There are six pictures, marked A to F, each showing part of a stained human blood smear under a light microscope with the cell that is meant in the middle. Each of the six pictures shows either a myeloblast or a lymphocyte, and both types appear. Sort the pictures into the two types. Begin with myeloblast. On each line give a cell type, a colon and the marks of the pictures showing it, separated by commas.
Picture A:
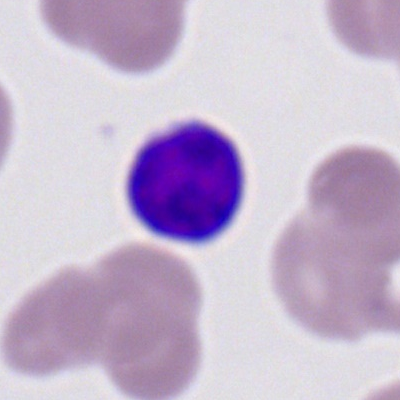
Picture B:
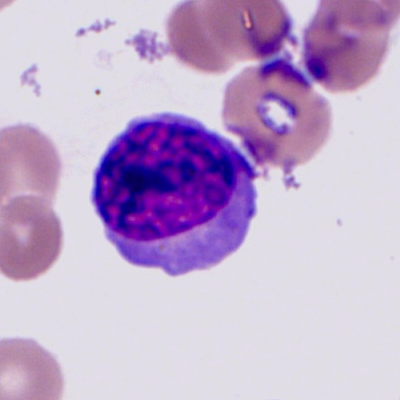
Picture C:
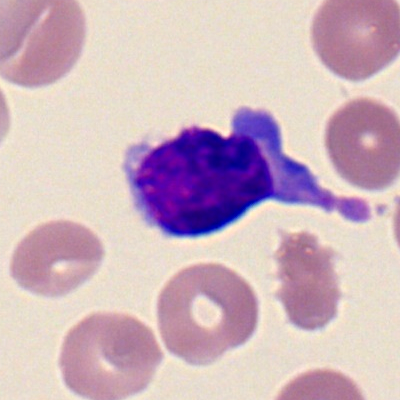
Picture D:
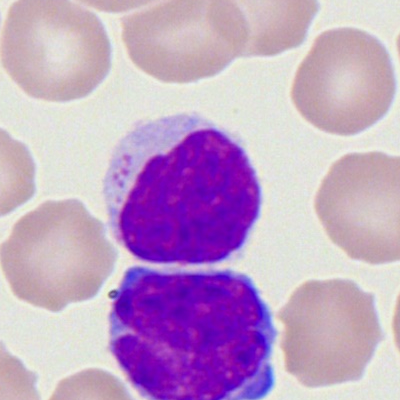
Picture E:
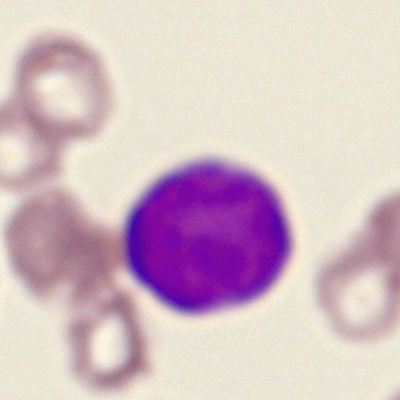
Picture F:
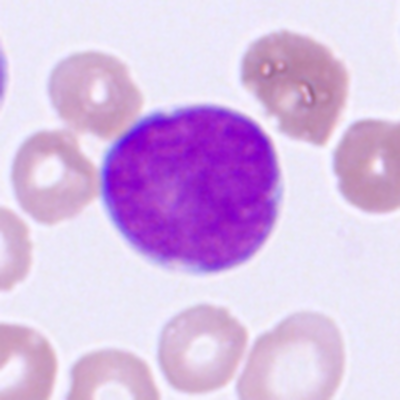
myeloblast: E, F
lymphocyte: A, B, C, D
